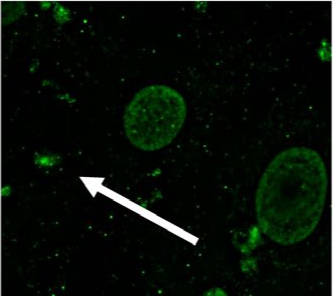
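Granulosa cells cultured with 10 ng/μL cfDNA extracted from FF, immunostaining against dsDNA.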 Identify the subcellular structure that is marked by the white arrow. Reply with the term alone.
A: Cytoplasm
